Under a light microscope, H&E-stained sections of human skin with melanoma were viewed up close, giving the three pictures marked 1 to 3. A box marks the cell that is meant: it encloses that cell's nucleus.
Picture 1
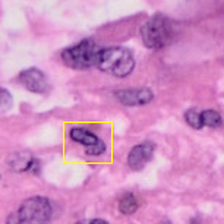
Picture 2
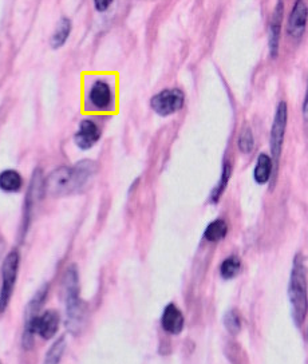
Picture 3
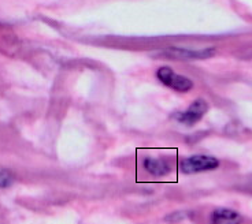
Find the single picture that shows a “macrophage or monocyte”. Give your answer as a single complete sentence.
Picture 1 shows the “macrophage or monocyte”.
